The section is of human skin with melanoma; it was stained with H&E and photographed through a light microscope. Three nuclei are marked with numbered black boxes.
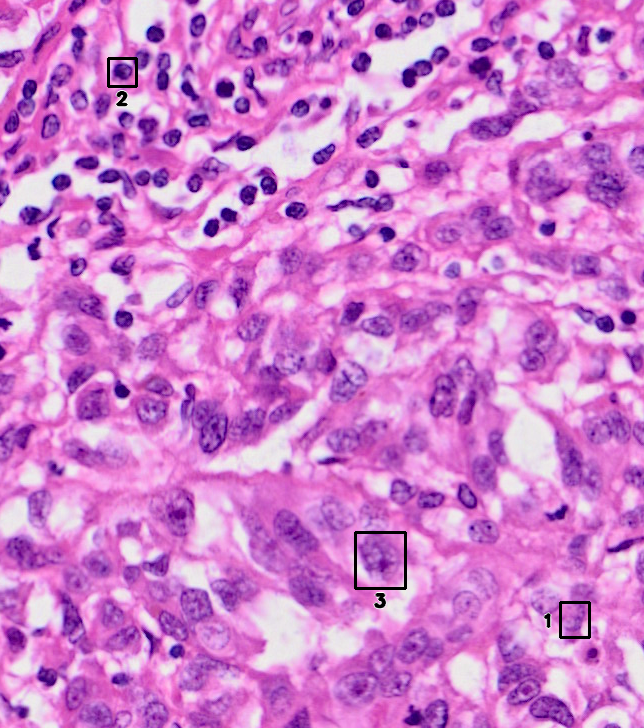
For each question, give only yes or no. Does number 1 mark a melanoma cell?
yes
